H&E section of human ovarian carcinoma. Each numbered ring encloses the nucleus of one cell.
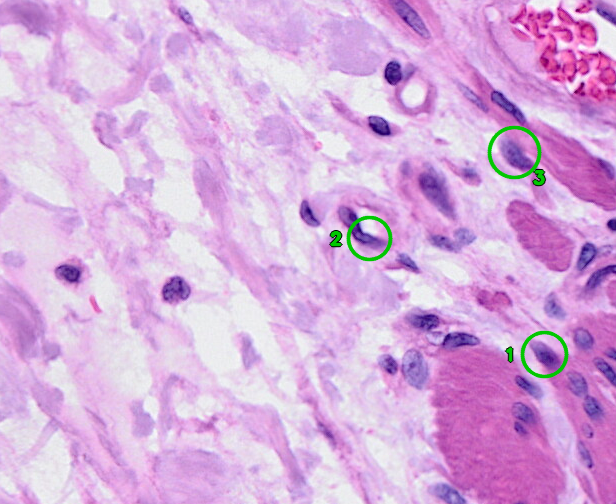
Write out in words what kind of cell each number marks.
Cell 1 is a smooth muscle cell, cell 2 is an endothelial cell and cell 3 is a smooth muscle cell.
